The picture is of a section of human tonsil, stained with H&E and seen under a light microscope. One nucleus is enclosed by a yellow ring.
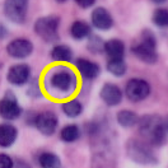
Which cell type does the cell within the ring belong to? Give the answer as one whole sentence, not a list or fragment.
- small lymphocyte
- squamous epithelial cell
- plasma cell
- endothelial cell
As far as its identity is concerned, the cell within the ring is a small lymphocyte.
